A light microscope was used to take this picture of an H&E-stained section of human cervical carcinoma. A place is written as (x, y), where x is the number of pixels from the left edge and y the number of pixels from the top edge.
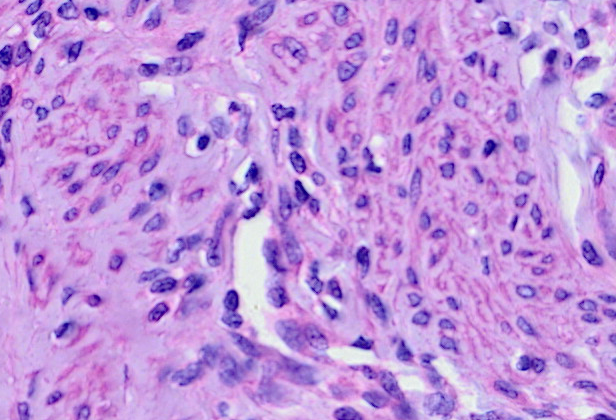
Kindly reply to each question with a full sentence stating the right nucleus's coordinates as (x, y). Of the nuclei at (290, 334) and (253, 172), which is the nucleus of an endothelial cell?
The nucleus at (290, 334) belongs to an endothelial cell, which distinguishes it from the other nucleus.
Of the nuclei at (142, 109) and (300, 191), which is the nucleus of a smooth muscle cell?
The nucleus at (142, 109) is the one that belongs to a smooth muscle cell.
